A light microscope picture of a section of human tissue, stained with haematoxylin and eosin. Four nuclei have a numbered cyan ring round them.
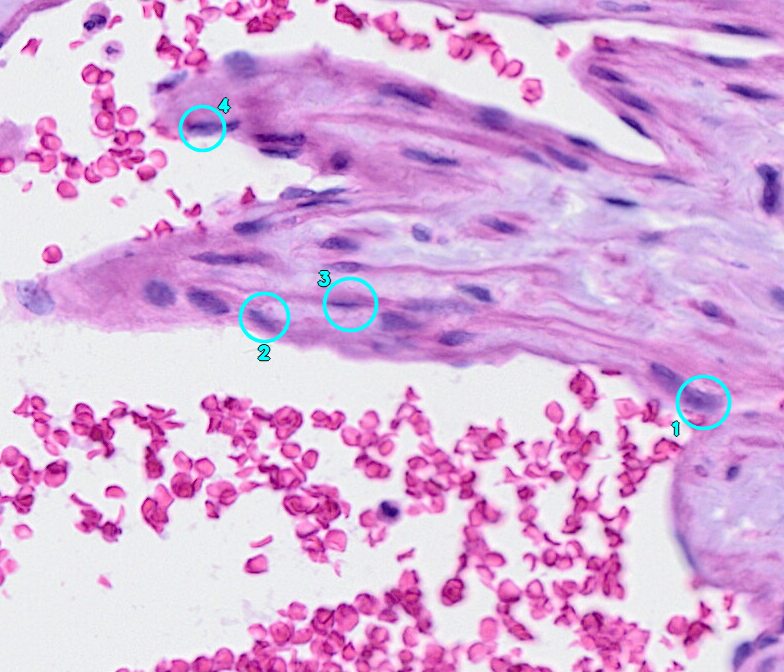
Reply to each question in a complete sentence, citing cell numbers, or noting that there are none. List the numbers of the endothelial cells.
Classified as endothelial cells are the cells numbered 1, 2 and 4.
